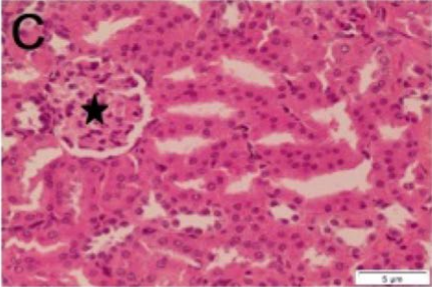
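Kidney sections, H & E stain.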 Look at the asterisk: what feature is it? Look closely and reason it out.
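A round cellular tuft surrounded by a thin capsule lies at the asterisk. Eosinophilic tubules surround it.
Renal corpuscle.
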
